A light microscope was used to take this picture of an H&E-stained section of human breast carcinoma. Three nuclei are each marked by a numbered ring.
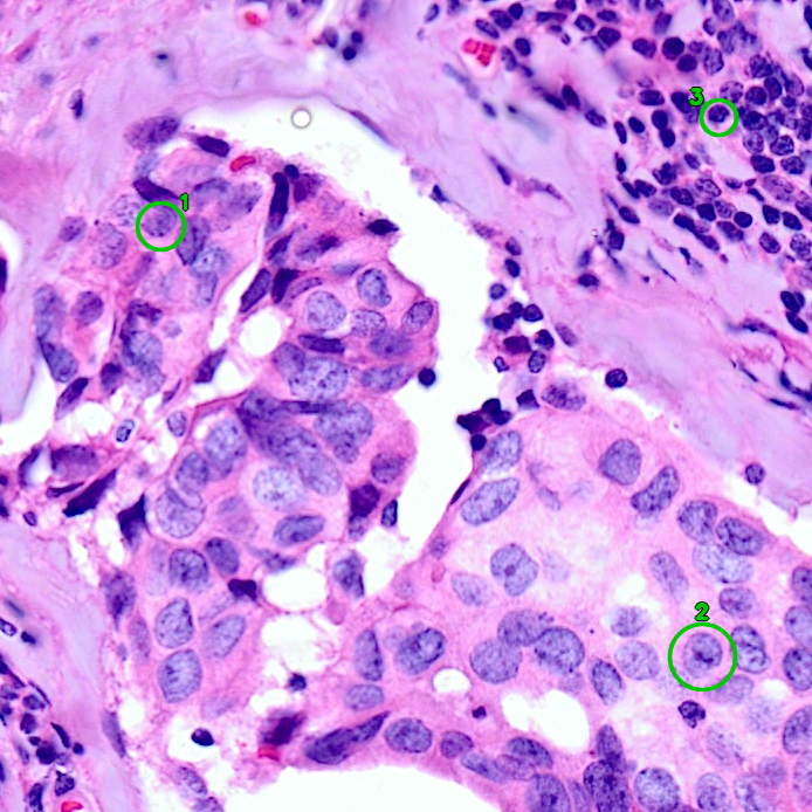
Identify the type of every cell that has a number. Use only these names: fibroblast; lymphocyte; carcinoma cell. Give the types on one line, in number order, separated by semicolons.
carcinoma cell; carcinoma cell; lymphocyte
